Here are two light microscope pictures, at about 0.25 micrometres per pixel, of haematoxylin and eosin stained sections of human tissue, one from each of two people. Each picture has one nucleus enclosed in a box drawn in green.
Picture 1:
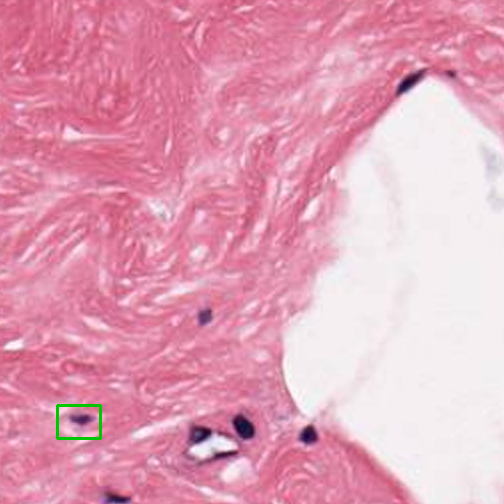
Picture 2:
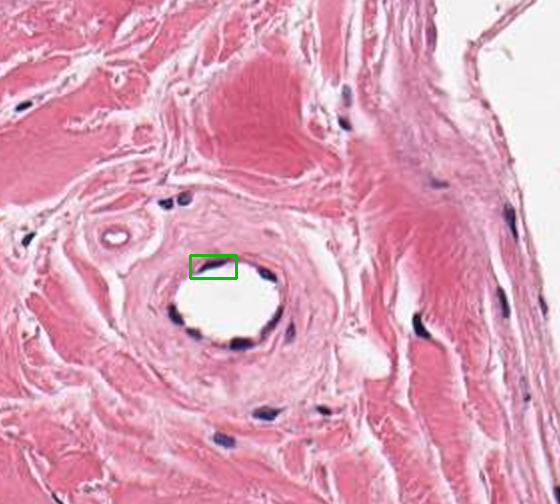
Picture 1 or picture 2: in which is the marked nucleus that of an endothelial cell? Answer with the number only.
2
